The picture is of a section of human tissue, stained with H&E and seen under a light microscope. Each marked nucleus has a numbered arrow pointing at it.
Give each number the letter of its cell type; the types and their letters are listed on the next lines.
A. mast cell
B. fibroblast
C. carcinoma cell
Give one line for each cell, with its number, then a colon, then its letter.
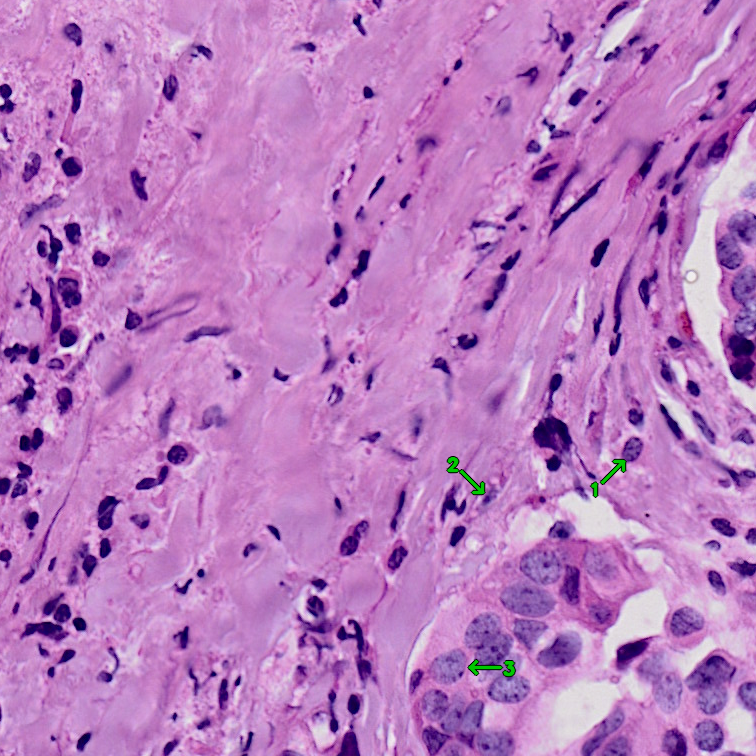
1: A
2: B
3: C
